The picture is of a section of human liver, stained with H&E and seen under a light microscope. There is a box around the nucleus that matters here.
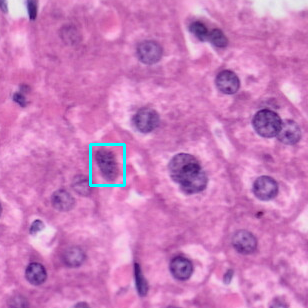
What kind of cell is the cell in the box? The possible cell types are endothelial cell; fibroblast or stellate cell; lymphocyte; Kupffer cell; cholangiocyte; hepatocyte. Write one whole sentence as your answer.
The cell in the box is a Kupffer cell.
